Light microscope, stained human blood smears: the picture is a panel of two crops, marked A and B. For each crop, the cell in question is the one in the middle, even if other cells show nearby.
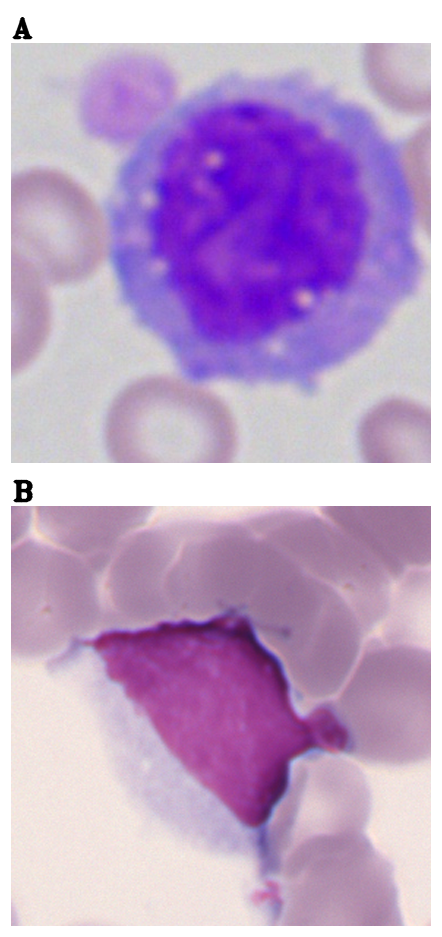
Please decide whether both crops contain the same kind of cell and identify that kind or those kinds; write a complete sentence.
No, crop A is home to a monocyte, and crop B to a lymphocyte.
